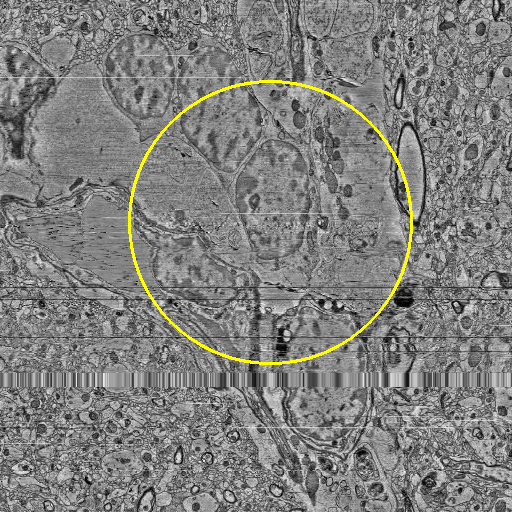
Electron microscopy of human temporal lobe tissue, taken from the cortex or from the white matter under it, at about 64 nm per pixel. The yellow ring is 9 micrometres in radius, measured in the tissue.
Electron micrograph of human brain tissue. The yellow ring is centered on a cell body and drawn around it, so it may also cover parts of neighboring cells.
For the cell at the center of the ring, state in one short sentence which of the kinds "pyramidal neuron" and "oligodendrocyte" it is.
This ring is centered on an oligodendrocyte.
